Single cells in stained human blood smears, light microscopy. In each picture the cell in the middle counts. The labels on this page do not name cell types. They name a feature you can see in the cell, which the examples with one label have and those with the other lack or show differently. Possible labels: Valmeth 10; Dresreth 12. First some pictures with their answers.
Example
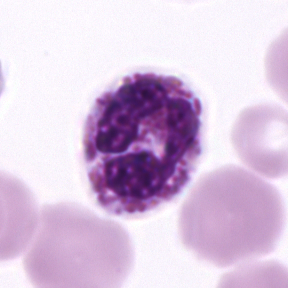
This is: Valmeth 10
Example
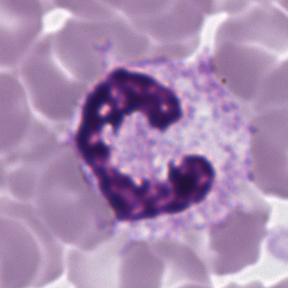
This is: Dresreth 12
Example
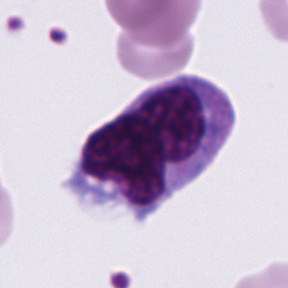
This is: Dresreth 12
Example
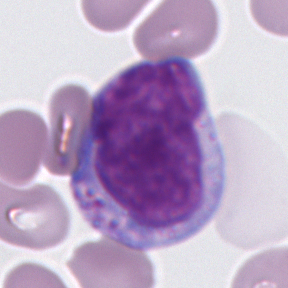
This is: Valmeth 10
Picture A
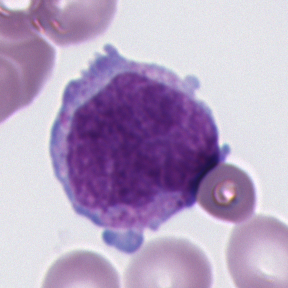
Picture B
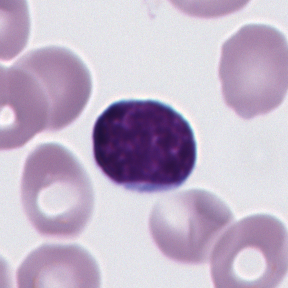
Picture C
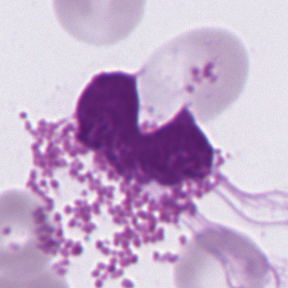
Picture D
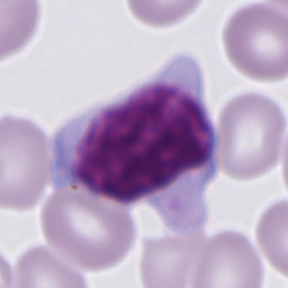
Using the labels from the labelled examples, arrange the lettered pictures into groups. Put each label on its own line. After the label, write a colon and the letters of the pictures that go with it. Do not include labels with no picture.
Valmeth 10: B
Dresreth 12: A, C, D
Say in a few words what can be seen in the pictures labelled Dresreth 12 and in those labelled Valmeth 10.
Dresreth 12, ragged outline or projections; Valmeth 10, smooth outline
